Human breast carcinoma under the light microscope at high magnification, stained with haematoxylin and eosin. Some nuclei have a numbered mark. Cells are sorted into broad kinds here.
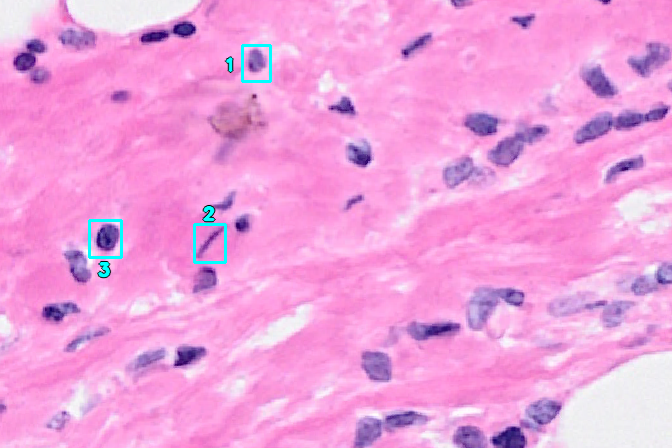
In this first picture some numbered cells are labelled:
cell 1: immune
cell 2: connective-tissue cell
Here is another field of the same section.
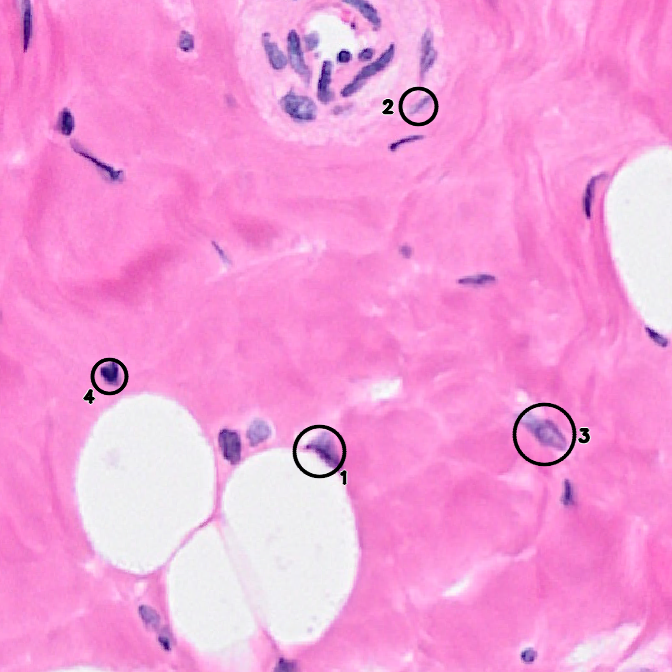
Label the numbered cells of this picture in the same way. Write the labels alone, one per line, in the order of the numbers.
connective-tissue cell
connective-tissue cell
connective-tissue cell
immune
